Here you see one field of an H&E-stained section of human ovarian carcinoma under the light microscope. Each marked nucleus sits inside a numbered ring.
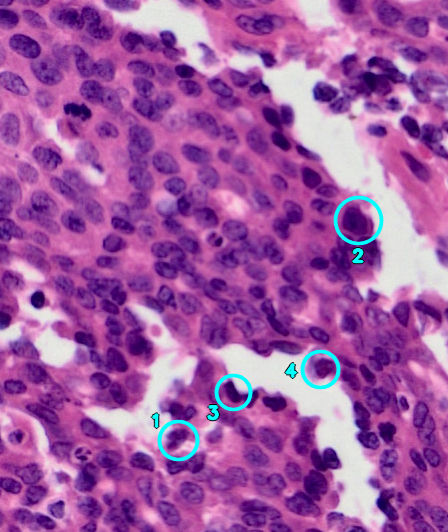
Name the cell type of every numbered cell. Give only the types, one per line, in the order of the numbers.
macrophage or monocyte
carcinoma cell
carcinoma cell
carcinoma cell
